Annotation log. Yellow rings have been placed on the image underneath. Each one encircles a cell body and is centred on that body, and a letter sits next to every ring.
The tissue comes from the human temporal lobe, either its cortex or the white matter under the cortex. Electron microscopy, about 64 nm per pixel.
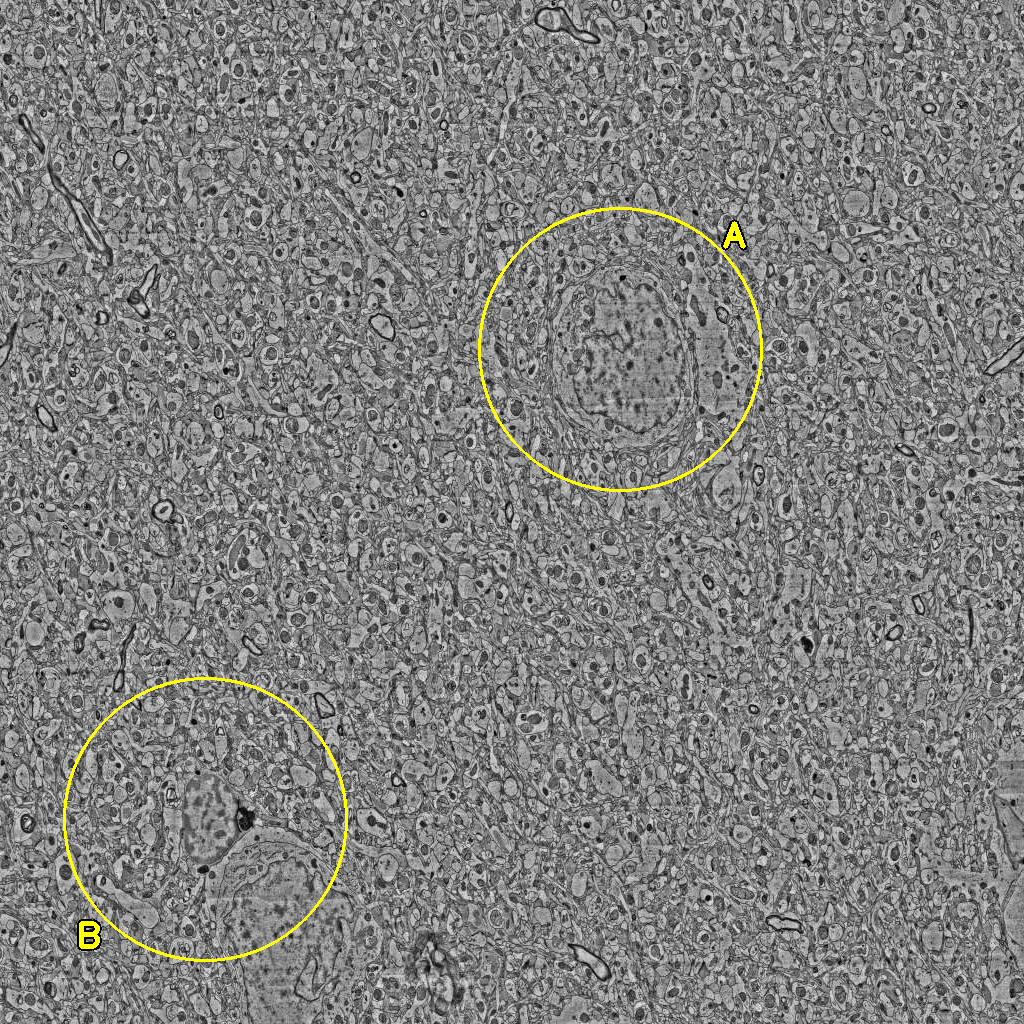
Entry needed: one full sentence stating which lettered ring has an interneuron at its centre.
The cell asked for sits at the centre of Ring A in the picture.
